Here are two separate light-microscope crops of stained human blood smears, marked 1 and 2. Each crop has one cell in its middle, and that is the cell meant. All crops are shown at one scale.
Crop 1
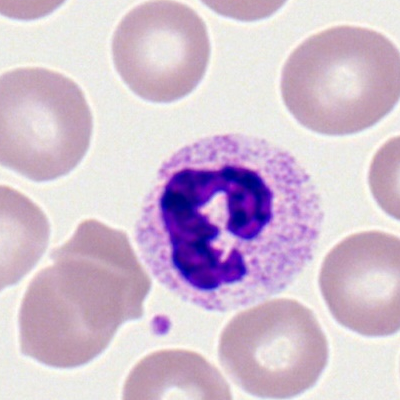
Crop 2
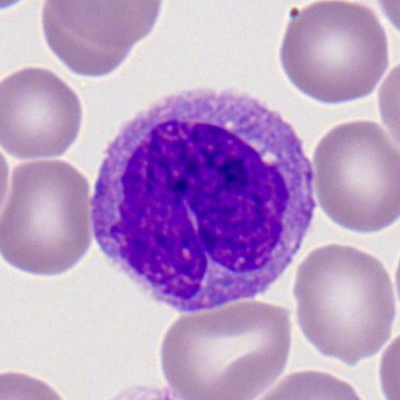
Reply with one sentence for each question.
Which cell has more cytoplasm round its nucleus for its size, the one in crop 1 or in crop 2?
Of the two, the nucleus in crop 1 leaves more room for cytoplasm.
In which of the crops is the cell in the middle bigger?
Larger is the cell in crop 2, at roughly 1.5 times the area of the other.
